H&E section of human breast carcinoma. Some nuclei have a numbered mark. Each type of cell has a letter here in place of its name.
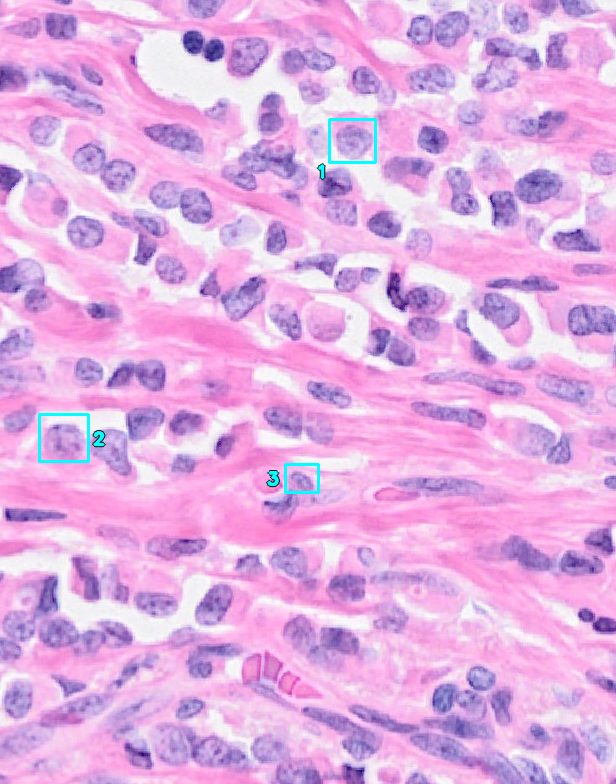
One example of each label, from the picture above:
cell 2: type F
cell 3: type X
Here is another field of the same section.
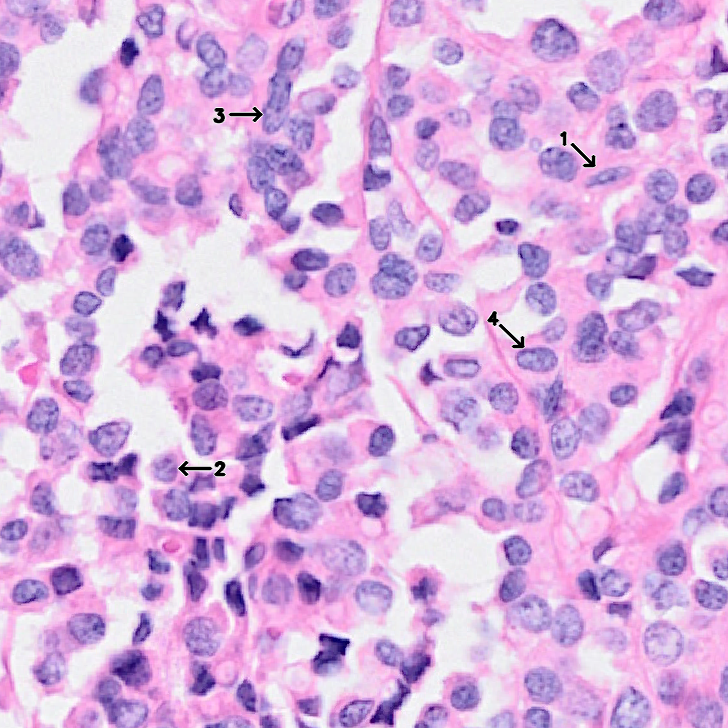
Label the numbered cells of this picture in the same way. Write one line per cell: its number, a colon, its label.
1: type X
2: type F
3: type F
4: type F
